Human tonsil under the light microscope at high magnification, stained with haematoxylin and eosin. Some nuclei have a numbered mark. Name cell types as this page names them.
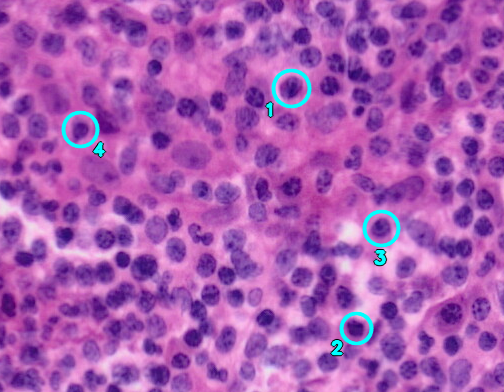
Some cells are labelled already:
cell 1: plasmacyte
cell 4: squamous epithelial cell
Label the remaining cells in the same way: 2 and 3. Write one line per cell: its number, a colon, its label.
2: plasmacyte
3: plasmacyte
